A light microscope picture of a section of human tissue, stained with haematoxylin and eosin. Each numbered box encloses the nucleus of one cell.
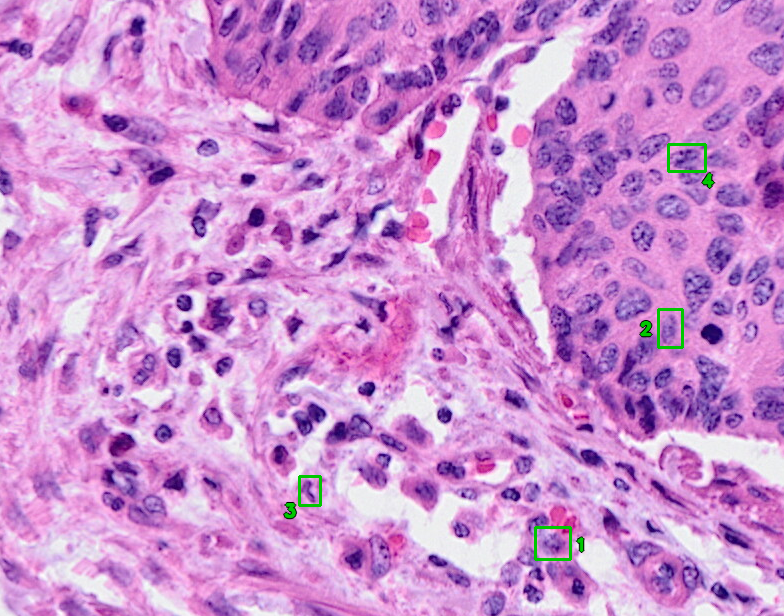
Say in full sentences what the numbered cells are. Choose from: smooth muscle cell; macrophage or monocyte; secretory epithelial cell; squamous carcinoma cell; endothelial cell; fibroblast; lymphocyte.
Cell 1 is an endothelial cell. Cells 2 and 4 are squamous carcinoma cells. Cell 3 is a fibroblast.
